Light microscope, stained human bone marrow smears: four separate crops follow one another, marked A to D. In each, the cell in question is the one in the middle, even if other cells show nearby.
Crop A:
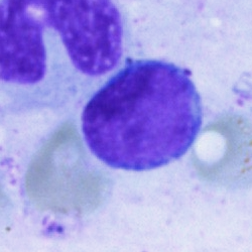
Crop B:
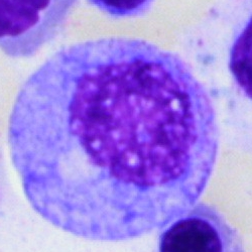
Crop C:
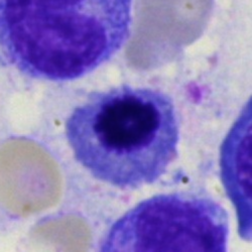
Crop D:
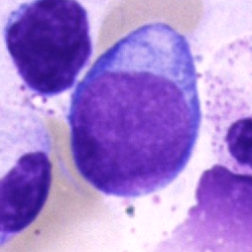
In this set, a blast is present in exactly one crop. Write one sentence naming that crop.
Crop D is identified as the crop showing a blast.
